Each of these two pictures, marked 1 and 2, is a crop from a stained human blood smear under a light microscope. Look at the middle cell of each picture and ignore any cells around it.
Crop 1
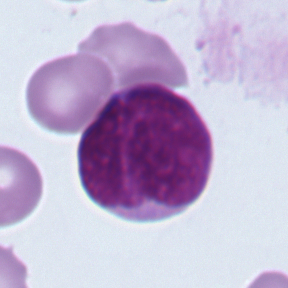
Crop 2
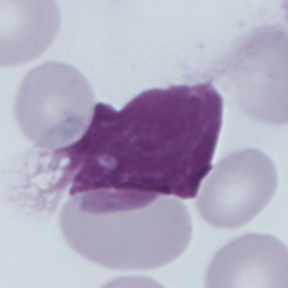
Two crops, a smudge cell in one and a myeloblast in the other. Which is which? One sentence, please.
Crop 1 features a myeloblast, while crop 2 features a smudge cell.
